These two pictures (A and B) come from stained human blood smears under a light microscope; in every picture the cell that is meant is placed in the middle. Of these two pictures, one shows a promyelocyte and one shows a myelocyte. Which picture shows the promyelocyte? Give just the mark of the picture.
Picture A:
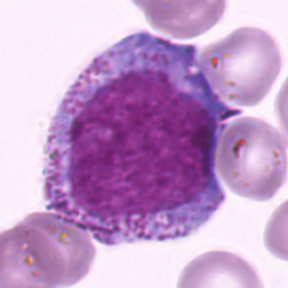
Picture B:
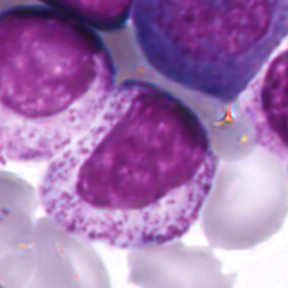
A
